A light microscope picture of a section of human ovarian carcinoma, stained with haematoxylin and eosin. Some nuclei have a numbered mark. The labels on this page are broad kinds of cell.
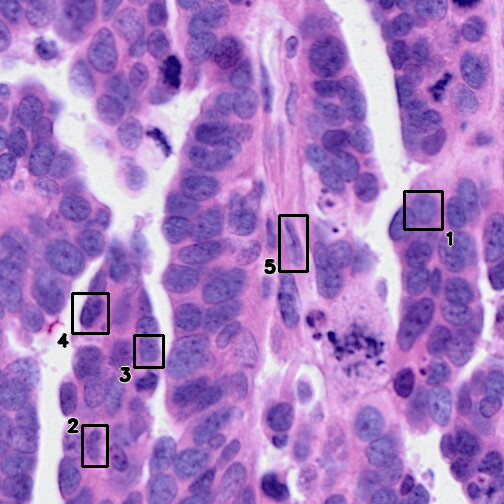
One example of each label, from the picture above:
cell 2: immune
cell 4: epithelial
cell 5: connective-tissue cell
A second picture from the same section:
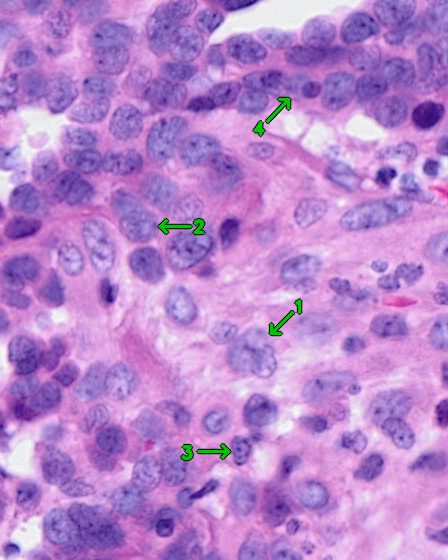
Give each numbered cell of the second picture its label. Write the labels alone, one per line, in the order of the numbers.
connective-tissue cell
epithelial
immune
epithelial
